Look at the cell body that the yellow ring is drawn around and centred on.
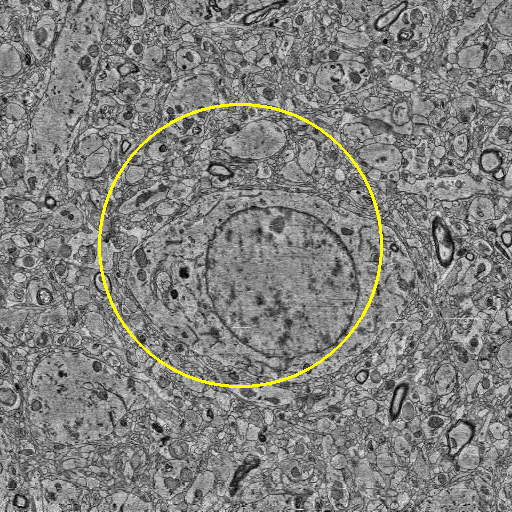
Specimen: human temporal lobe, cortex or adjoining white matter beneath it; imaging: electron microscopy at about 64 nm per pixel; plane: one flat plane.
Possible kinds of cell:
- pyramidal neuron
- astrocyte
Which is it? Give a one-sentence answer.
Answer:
The centred cell body is that of a pyramidal neuron.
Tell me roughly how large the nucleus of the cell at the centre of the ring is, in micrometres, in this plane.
In this plane, the nucleus is roughly 11 by 9 micrometres.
